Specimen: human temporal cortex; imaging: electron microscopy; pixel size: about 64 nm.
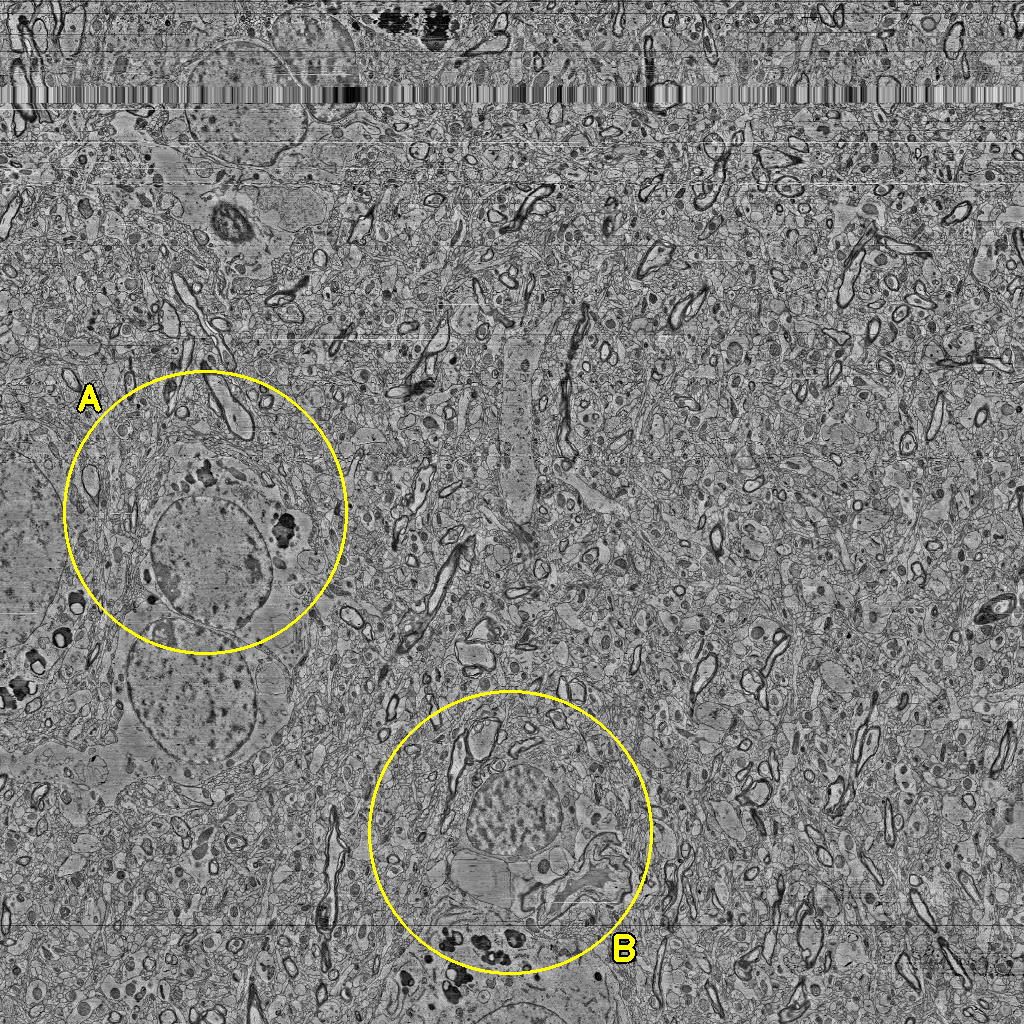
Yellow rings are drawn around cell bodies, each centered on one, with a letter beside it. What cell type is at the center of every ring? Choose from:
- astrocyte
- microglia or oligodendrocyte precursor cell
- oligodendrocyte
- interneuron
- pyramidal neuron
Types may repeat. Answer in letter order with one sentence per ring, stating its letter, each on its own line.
The cell at the center of ring A is an astrocyte.
The cell at the center of ring B is an oligodendrocyte.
